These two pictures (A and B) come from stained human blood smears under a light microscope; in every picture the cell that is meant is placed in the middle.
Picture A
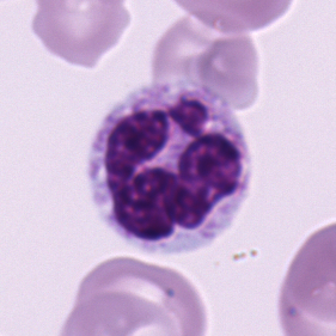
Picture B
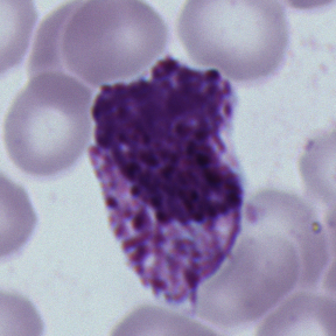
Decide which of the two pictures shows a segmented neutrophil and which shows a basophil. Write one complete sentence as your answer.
In picture A the cell is a segmented neutrophil; in picture B, a basophil.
